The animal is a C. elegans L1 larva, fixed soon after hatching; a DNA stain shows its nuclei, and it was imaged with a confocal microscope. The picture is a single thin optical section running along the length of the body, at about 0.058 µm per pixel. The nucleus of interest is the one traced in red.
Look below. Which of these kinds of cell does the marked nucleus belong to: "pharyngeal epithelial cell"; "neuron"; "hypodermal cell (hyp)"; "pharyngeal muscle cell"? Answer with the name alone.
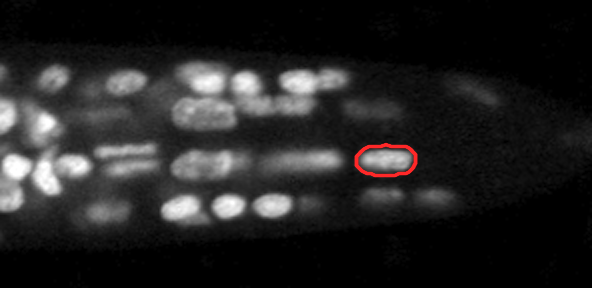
pharyngeal epithelial cell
